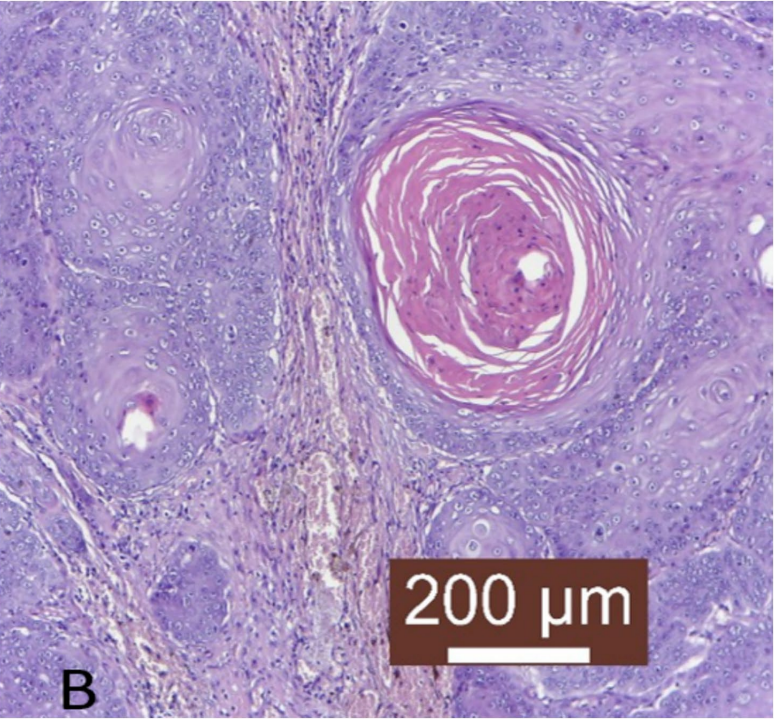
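Rounded islands of squamous epithelial tumor cells lie in the deep tissue, separated by a band of fibrous stroma with spindle-shaped cells. The largest island has a central mass of concentrically layered, bright pink keratin with a few retained nuclei, surrounded by rings of flattened cells and an outer rim of more darkly staining cells. Smaller islands nearby show pale pink whorled centres, one with a small central focus of keratin.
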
